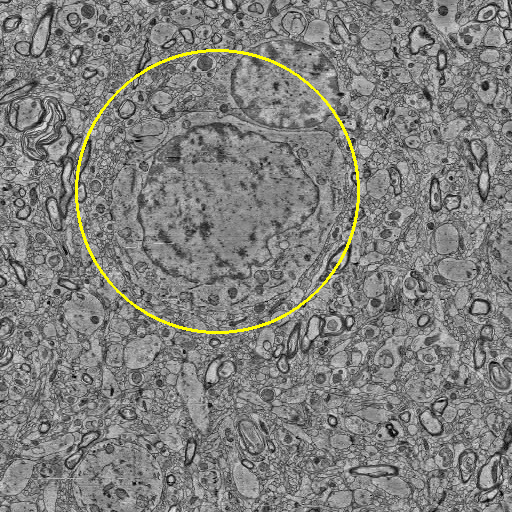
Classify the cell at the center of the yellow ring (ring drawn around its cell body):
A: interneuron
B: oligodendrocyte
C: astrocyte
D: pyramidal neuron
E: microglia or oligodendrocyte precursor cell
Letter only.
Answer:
A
